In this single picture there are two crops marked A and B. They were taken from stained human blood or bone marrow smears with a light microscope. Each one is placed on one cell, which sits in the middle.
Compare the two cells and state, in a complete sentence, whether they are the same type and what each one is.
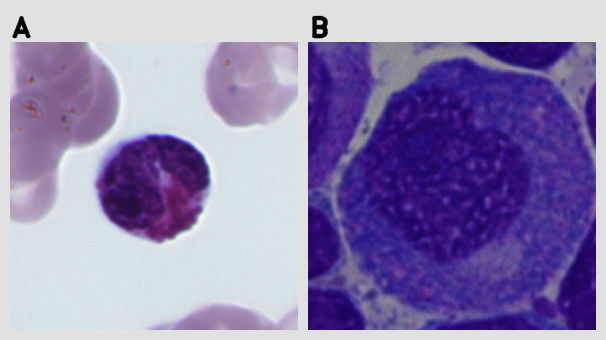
No, an eosinophil is depicted by crop A, a promyelocyte by crop B.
